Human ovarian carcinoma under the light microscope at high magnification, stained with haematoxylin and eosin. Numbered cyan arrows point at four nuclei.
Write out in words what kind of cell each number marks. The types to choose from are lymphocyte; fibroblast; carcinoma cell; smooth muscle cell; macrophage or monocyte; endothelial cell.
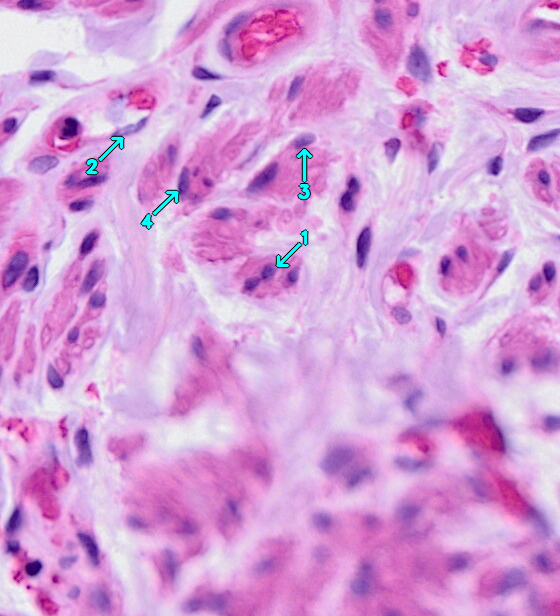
Cells 1, 3 and 4 are smooth muscle cells. Cell 2 is an endothelial cell.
